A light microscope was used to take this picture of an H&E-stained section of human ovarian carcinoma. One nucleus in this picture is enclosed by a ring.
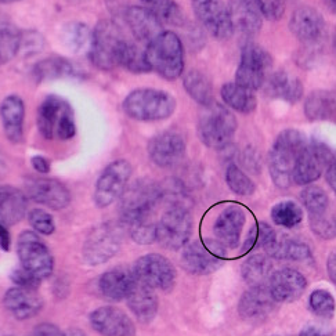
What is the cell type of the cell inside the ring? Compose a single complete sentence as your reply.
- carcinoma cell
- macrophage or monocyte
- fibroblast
In this section, the cell inside the ring is a macrophage or monocyte.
